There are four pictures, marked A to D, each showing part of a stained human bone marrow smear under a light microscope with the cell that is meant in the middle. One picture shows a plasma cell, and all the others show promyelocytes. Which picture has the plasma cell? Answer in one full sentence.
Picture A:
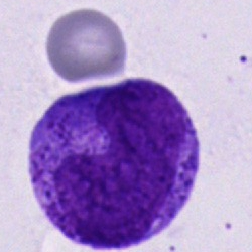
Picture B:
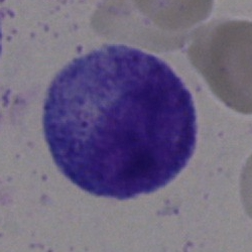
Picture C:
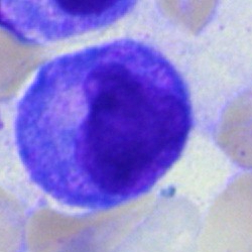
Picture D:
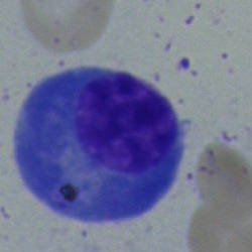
Picture D is the one that shows the plasma cell.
